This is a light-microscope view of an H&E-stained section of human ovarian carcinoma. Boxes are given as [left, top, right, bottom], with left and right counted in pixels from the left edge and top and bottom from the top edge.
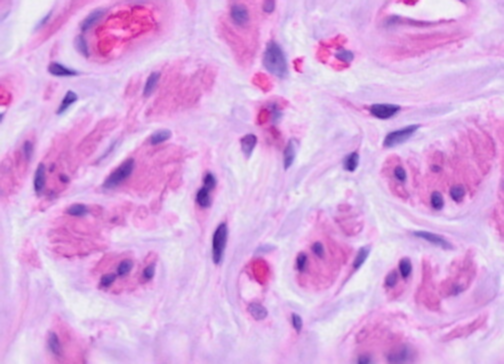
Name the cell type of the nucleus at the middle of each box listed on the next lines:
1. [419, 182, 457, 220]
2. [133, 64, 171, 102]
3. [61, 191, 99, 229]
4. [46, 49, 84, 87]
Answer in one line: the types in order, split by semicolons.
smooth muscle cell; smooth muscle cell; smooth muscle cell; fibroblast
